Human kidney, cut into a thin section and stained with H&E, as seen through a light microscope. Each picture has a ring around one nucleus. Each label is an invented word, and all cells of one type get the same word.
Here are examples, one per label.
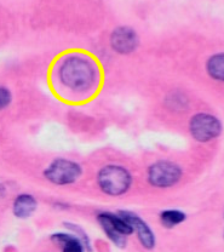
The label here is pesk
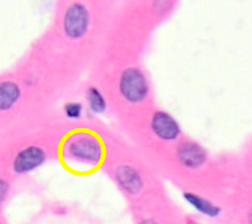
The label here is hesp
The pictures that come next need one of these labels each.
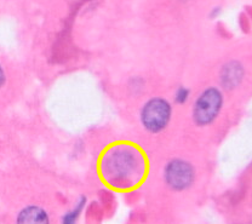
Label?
pesk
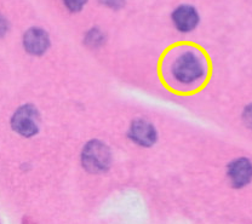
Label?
pesk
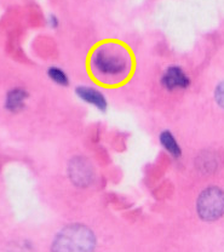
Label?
pesk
